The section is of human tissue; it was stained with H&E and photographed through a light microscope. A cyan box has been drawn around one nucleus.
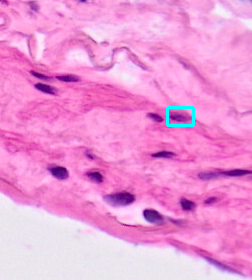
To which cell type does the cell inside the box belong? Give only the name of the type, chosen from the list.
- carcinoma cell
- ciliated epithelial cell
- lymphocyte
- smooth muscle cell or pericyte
smooth muscle cell or pericyte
